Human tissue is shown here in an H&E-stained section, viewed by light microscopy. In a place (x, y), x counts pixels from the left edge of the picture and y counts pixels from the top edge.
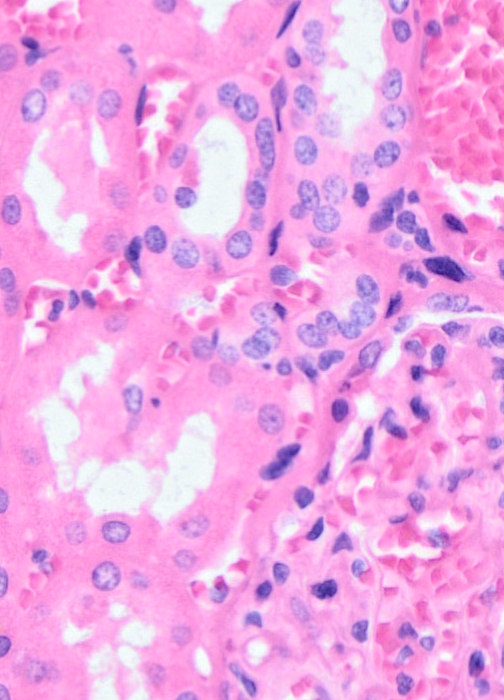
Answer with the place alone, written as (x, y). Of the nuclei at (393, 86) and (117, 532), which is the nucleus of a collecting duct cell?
(393, 86)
